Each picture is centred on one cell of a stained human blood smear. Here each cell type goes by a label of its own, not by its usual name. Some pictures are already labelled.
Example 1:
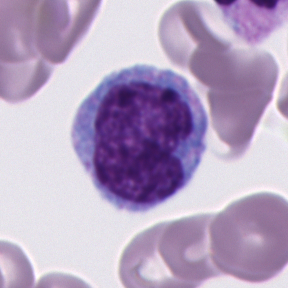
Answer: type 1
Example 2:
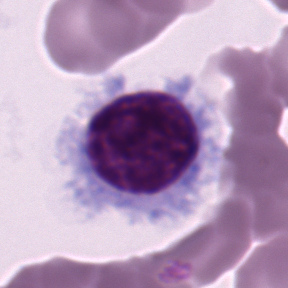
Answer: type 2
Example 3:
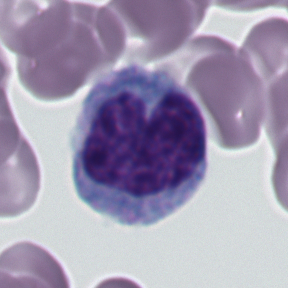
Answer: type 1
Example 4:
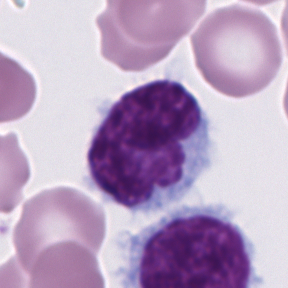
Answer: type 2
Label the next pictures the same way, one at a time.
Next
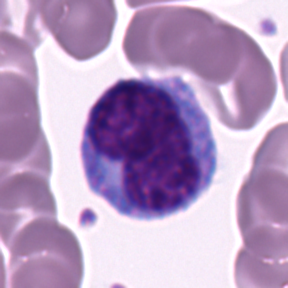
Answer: type 1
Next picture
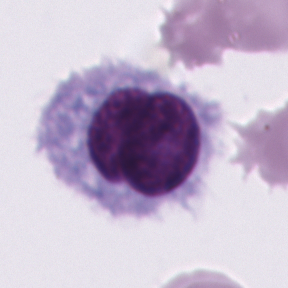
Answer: type 2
